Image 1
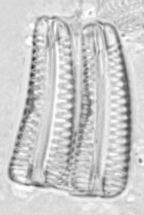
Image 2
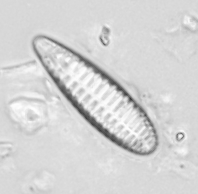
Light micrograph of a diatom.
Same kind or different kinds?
Same: Rhoicosphenia.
